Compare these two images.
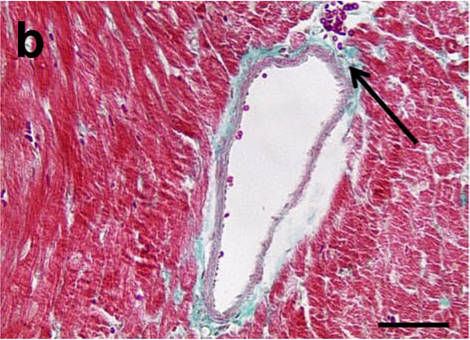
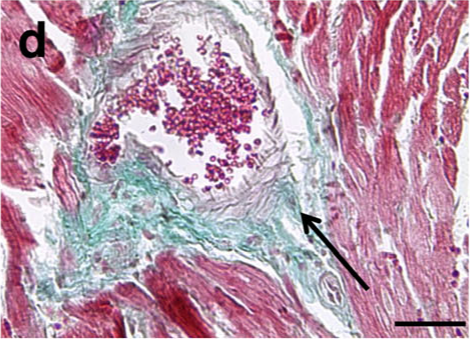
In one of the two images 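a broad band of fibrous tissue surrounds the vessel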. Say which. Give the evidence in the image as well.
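The second image. Second image: a wide green-stained zone extends around the vessel into the surrounding muscle. First image: only a thin green rim lines the vessel wall.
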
